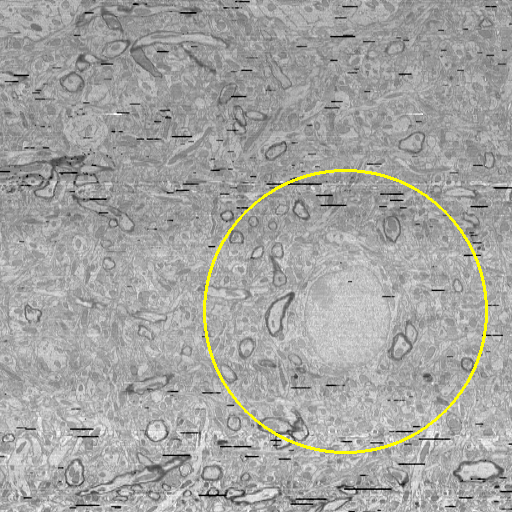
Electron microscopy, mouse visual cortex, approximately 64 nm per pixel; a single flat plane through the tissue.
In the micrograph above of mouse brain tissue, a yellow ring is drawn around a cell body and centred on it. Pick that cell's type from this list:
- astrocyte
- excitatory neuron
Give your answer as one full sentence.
Going by the list, an astrocyte is the cell on which the yellow ring is centred.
